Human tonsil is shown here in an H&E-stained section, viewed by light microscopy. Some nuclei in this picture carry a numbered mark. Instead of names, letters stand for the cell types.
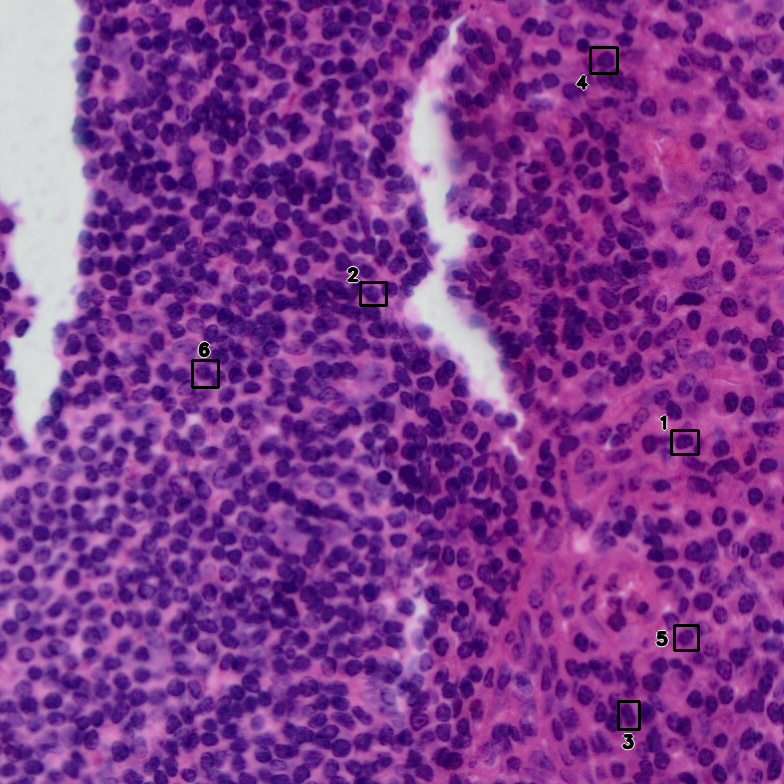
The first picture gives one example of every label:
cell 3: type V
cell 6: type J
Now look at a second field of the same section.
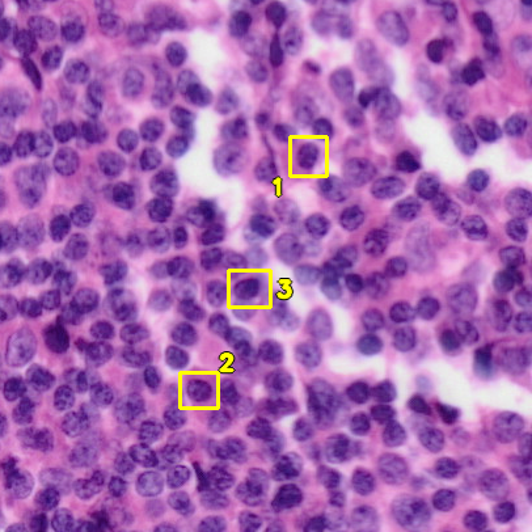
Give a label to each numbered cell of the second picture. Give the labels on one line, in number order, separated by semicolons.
type V; type V; type J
